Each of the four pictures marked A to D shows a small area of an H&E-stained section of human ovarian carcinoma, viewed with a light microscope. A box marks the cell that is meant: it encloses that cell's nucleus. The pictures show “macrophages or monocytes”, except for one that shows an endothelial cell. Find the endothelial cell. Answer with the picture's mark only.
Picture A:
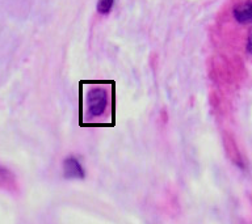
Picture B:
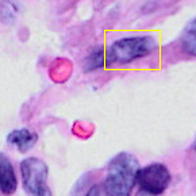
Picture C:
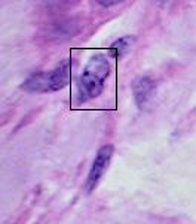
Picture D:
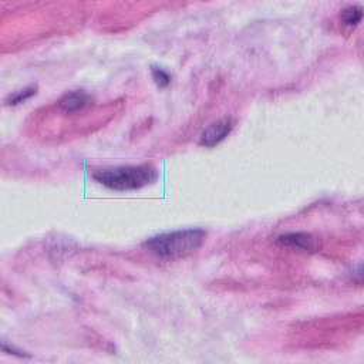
D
